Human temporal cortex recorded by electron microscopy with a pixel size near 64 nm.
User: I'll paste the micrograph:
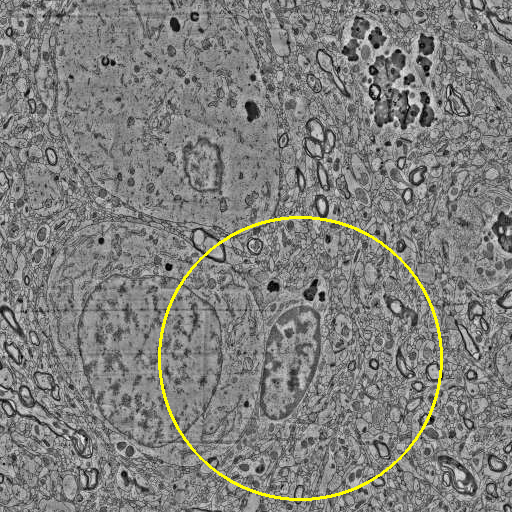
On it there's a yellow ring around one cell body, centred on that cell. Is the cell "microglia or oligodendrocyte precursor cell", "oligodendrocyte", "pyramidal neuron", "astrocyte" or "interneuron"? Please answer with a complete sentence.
The cell ringed in yellow is a microglial cell or oligodendrocyte precursor cell.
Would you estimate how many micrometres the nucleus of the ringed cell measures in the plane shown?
The nucleus is about 7 micrometres in length and 3 in width, clearly longer than it is wide in this plane.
